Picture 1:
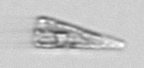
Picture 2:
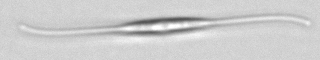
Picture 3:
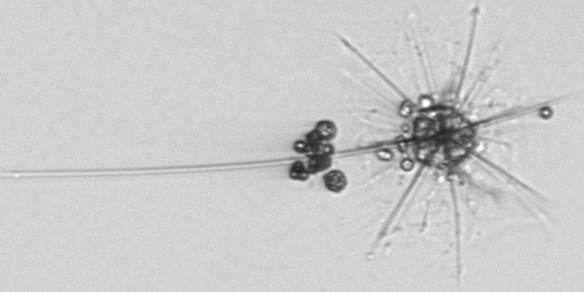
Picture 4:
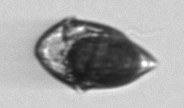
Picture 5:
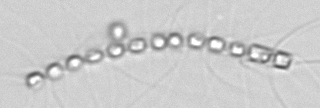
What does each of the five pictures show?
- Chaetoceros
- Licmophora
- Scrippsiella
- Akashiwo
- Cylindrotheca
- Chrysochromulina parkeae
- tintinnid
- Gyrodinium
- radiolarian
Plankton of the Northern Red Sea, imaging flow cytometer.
Picture 1: Licmophora
Picture 2: Cylindrotheca
Picture 3: radiolarian
Picture 4: Gyrodinium
Picture 5: Chaetoceros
